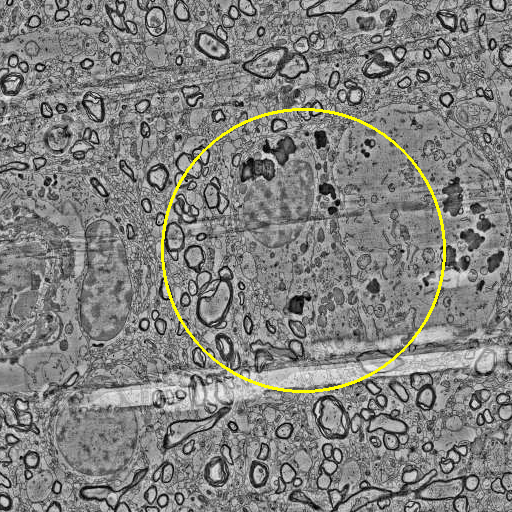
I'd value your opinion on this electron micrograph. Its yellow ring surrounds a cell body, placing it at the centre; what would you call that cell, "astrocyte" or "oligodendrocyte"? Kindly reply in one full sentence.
It is an oligodendrocyte that sits centred within the yellow ring in this micrograph.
